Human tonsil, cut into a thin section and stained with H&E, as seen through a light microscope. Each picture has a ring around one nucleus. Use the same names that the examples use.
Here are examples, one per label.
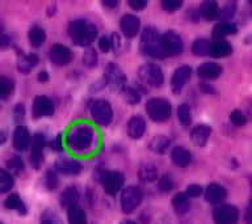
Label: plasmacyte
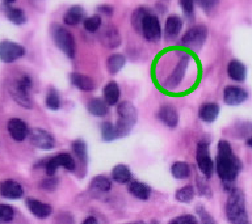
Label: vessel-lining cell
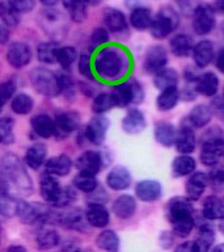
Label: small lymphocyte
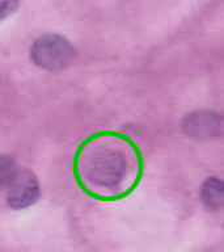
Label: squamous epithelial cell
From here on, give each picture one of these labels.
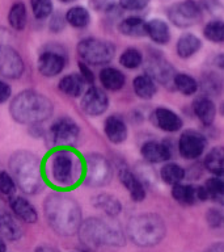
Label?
vessel-lining cell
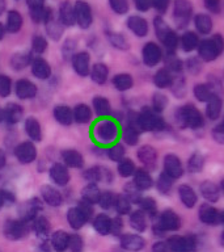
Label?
small lymphocyte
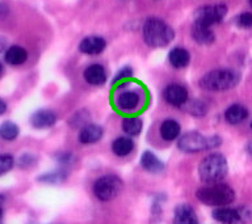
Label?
plasmacyte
